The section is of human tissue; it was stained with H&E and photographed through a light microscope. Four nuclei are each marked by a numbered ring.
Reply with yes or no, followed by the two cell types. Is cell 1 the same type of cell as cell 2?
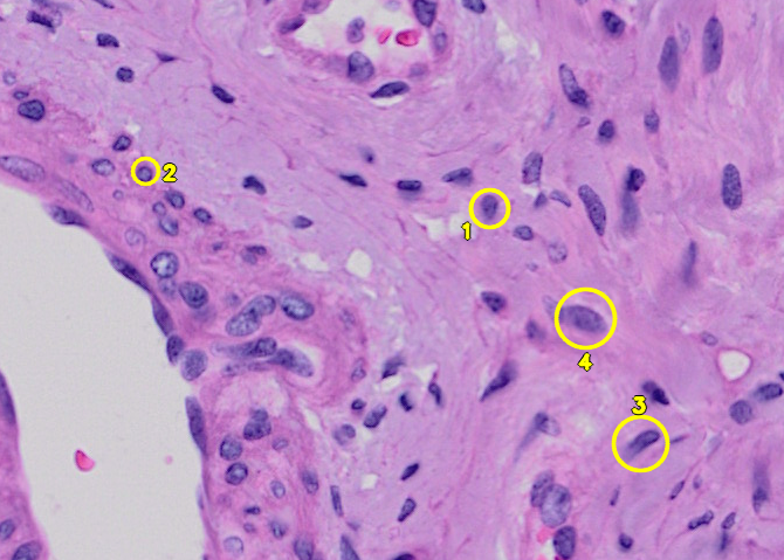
No, cell 1 is a fibroblast and cell 2 is a smooth muscle cell.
